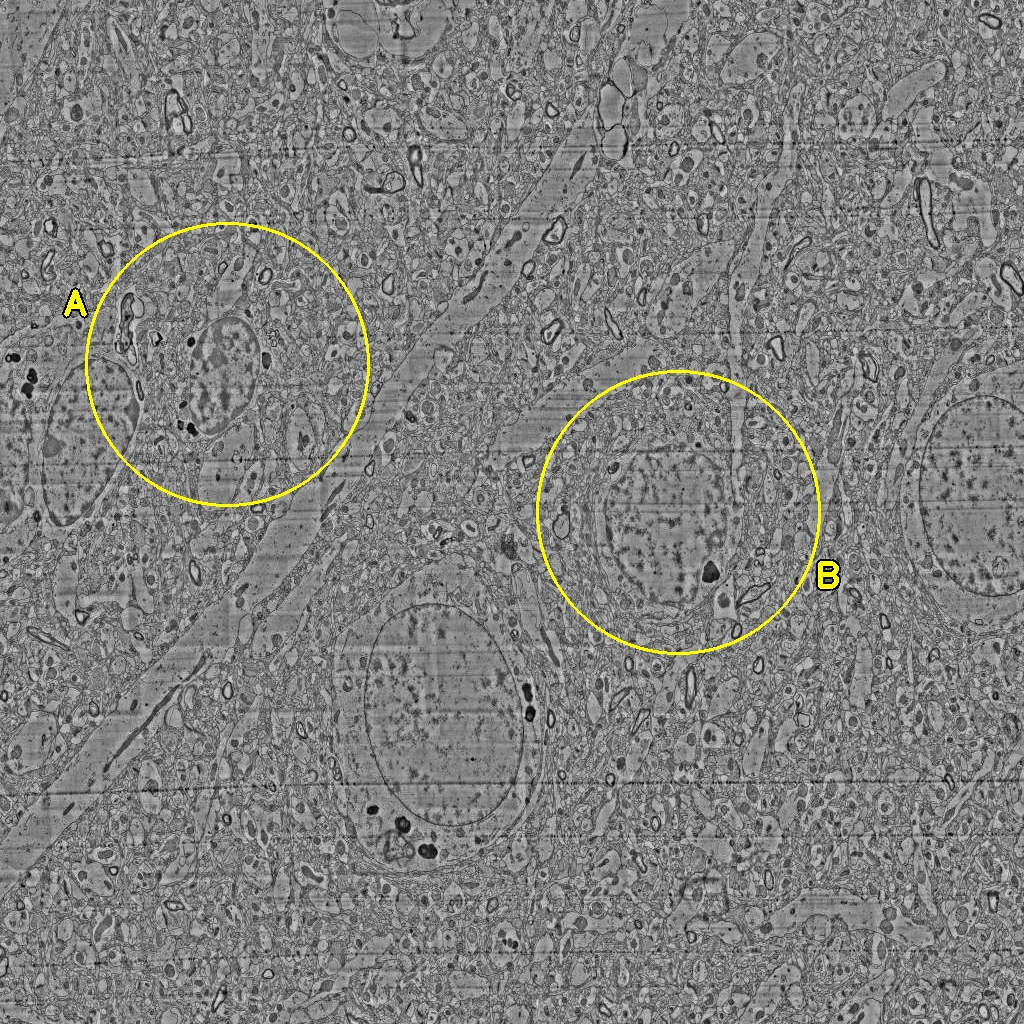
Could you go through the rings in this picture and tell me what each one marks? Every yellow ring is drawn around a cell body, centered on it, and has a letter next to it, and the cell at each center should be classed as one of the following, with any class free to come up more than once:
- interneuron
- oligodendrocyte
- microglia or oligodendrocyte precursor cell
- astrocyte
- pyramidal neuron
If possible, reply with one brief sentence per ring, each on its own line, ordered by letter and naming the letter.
The cell centered in ring A is a microglial cell or oligodendrocyte precursor cell.
The cell centered in ring B is an interneuron.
